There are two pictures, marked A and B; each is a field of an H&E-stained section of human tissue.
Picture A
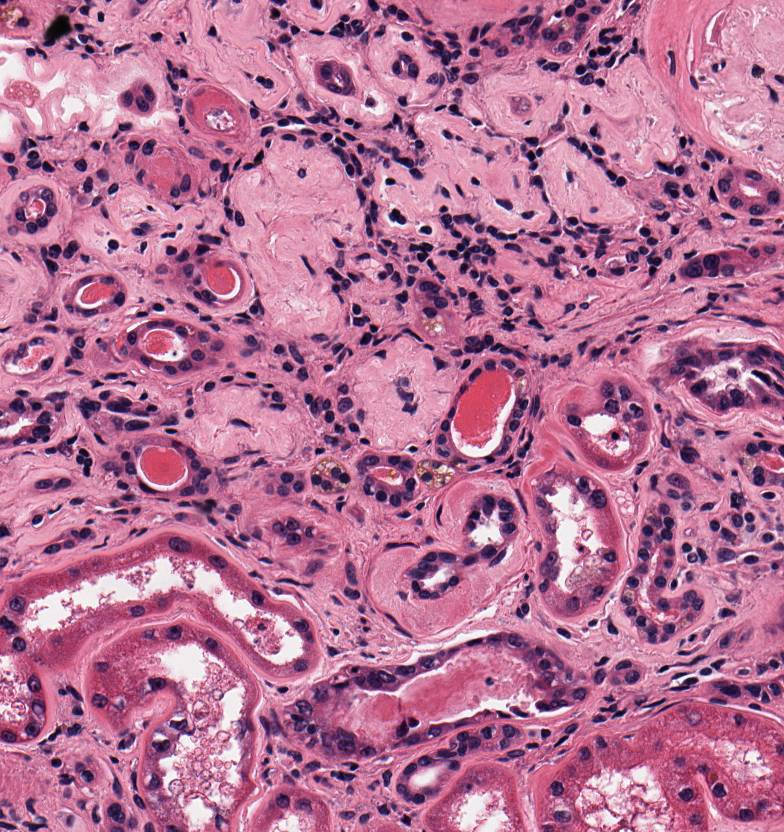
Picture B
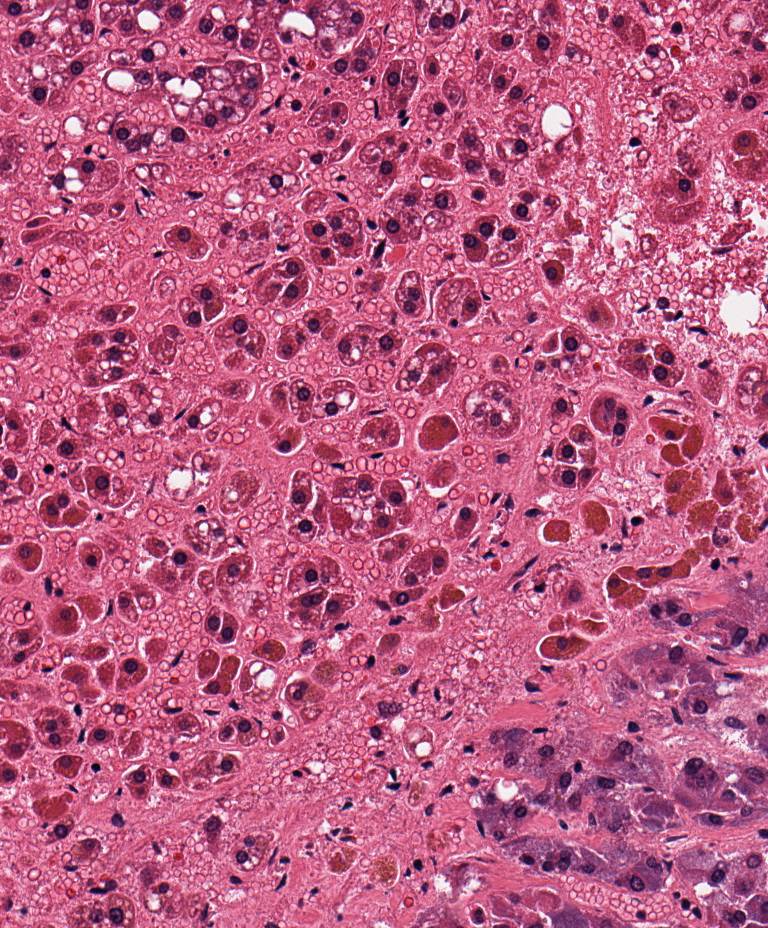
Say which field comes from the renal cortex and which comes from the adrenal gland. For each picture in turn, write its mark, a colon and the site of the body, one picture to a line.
A: renal cortex
B: adrenal gland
